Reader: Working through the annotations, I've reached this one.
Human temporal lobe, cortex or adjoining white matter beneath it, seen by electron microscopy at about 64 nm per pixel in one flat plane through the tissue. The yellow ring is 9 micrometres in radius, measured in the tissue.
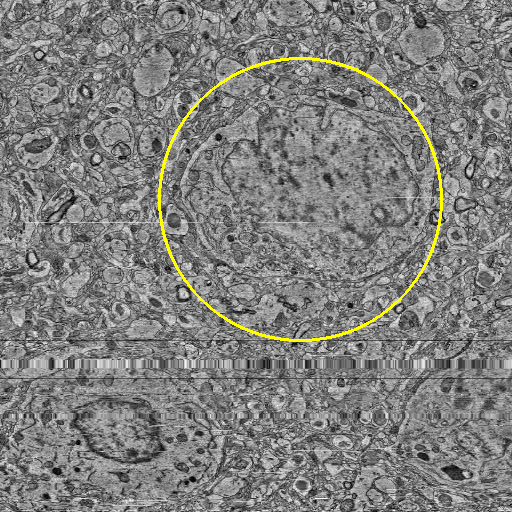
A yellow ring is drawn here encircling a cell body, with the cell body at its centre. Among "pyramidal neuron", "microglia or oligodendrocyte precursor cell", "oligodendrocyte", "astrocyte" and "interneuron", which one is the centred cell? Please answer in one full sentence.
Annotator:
The cell body at the centre of the yellow ring in this image belongs to an interneuron.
